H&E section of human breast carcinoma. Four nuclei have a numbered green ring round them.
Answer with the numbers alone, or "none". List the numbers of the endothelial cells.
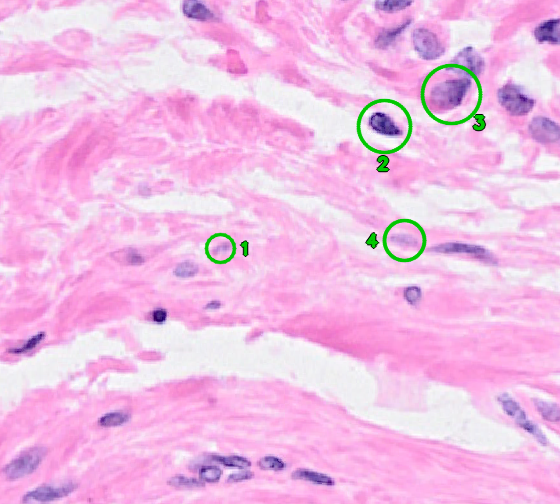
none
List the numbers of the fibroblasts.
1, 4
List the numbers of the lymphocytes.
2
